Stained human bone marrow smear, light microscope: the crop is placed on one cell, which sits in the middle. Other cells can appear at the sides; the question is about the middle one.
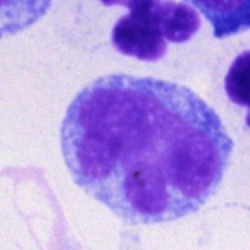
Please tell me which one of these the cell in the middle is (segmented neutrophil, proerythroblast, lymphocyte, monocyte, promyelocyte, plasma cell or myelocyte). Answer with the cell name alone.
monocyte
